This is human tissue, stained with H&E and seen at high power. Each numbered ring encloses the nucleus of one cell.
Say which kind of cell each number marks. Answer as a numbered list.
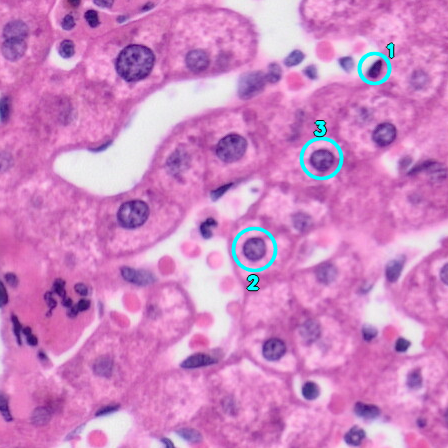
1. endothelial cell
2. hepatocyte
3. hepatocyte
